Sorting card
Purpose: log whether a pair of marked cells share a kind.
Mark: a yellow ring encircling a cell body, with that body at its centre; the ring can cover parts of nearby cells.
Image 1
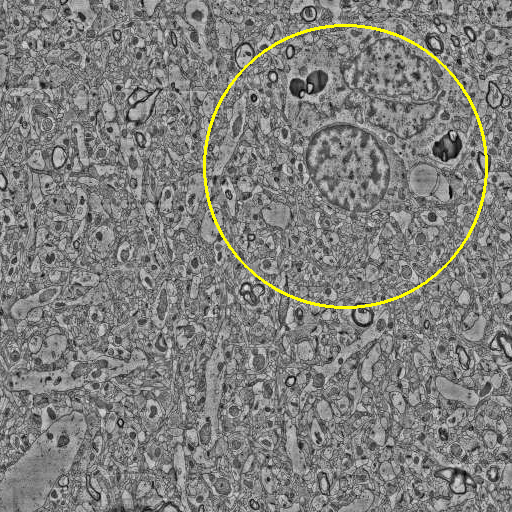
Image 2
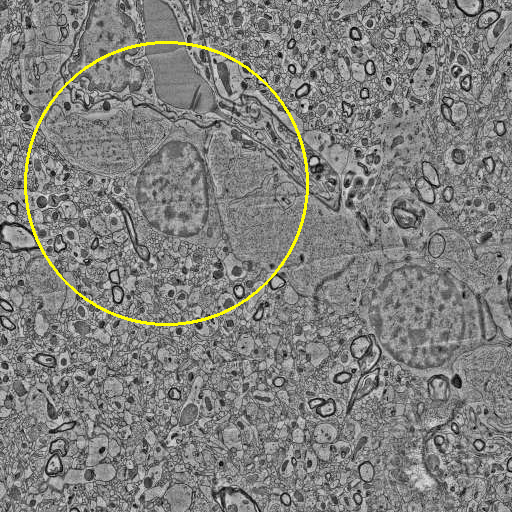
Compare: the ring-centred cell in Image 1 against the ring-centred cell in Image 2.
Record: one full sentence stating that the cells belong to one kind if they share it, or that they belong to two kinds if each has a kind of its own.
Across Images 1 and 2, the two ring-centred cells belong to one kind.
